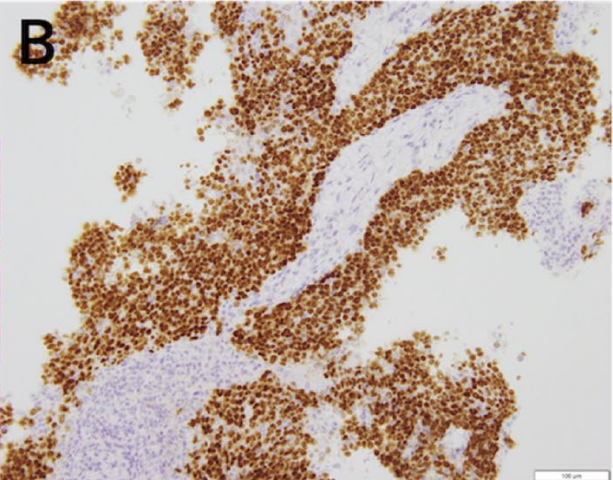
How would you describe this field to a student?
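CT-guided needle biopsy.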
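The brown nuclei are crowded and fill nearly every cell of the nests. Between the nests run strands of stroma whose spindle-shaped cells have blue, unstained nuclei, and a field of small blue unstained cells lies at the lower left.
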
